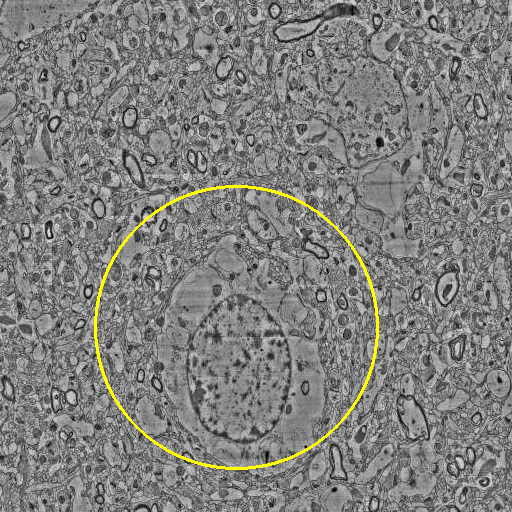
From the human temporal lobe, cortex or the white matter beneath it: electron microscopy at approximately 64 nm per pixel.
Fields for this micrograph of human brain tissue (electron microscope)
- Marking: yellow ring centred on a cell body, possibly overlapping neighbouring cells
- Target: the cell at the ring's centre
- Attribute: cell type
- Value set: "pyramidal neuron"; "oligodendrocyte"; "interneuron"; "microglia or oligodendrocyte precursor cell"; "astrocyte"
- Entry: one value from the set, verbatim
astrocyte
